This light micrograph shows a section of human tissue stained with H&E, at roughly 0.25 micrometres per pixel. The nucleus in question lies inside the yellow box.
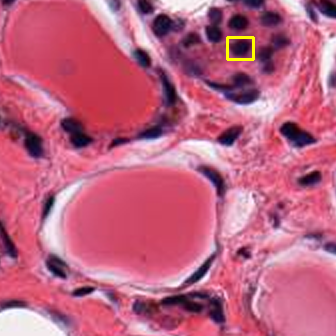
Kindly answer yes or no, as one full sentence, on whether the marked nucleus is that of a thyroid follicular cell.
Yes, the marked nucleus is housed in a thyroid follicular cell.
